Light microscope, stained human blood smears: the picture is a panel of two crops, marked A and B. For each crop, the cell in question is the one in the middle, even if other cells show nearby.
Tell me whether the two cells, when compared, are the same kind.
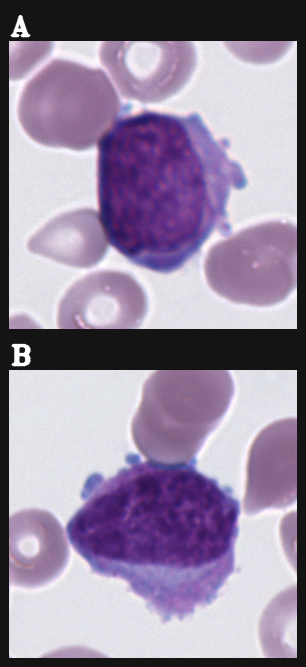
yes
